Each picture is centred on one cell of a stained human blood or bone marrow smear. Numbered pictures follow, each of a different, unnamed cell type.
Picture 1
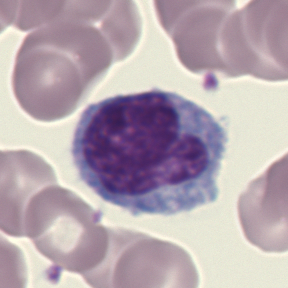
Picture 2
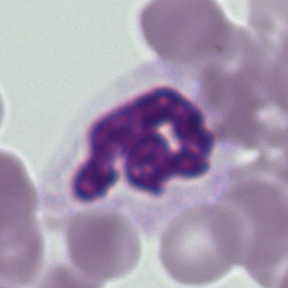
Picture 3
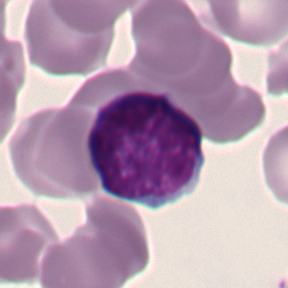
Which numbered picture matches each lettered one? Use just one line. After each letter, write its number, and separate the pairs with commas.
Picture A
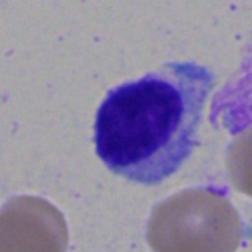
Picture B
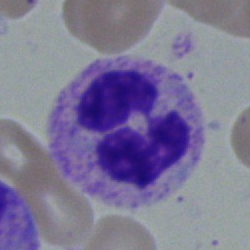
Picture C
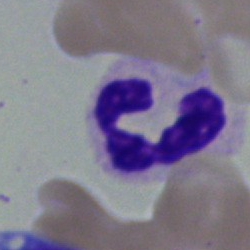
A 3, B 2, C 2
